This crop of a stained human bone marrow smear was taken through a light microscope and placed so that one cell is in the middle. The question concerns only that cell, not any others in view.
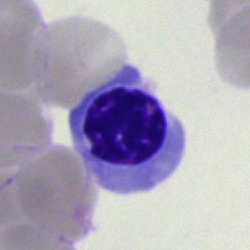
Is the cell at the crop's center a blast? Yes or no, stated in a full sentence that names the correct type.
No, the identification should read an erythroblast, not a blast, for the central cell.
